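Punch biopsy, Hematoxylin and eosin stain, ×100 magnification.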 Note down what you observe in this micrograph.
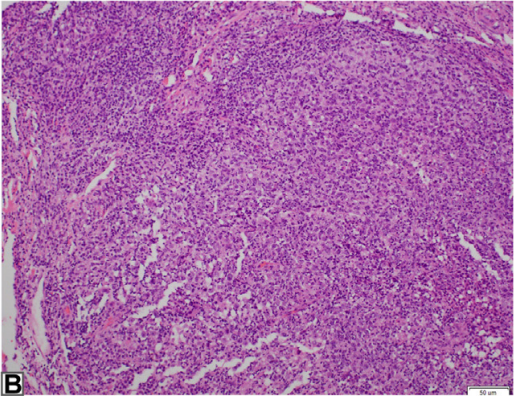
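A densely cellular area is crowded with many small dark nuclei mixed with paler, larger cells, with strands of pink connective tissue at the edges. The small dark cells are spread diffusely through the cellular sheet rather than confined to its border. This is a proliferation of cells accompanied by prominent inflammation.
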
